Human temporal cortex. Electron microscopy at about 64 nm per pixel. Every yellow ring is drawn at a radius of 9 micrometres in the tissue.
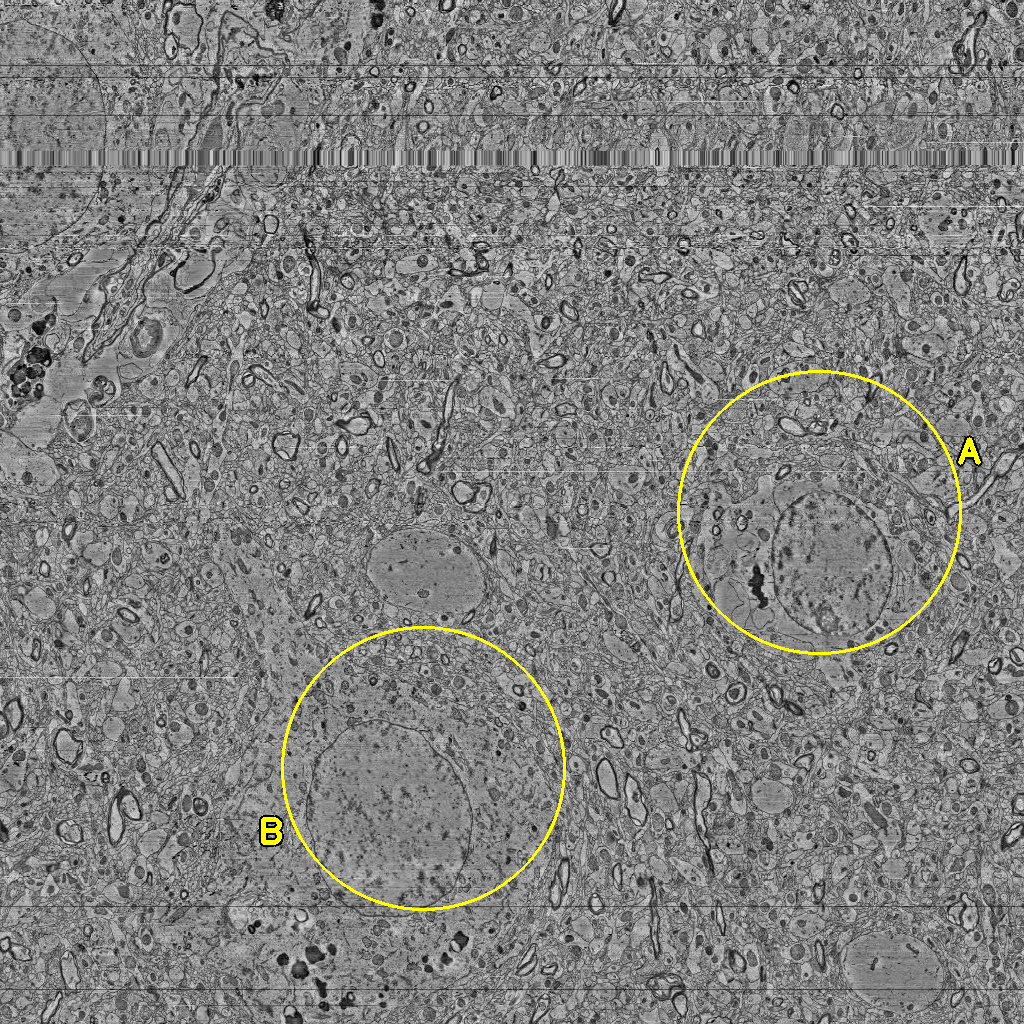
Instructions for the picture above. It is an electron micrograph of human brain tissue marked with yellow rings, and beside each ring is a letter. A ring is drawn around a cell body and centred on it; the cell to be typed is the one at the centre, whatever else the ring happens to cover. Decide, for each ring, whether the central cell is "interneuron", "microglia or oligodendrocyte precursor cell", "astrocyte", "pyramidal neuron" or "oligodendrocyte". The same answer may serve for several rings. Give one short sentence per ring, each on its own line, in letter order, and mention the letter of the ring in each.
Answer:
Ring A is drawn around an astrocyte.
Ring B is drawn around a pyramidal neuron.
